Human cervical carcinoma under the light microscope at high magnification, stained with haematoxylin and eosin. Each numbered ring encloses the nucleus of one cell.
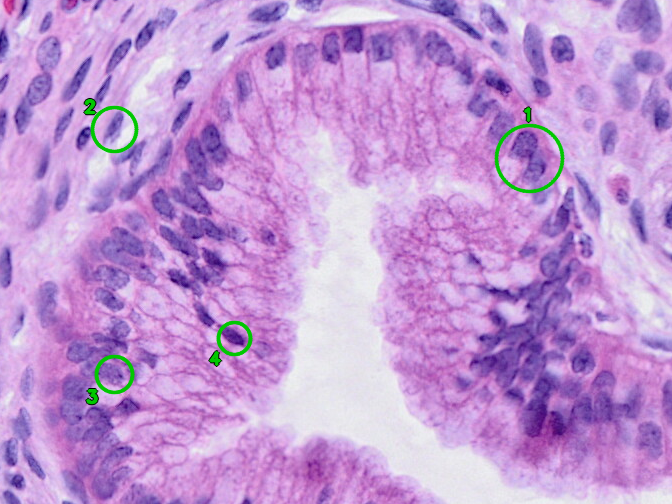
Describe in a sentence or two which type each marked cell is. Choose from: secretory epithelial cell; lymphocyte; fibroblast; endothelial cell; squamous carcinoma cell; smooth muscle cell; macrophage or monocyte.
Cell 1 is a secretory epithelial cell, cell 2 is a fibroblast, cell 3 is a secretory epithelial cell and cell 4 is a secretory epithelial cell.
